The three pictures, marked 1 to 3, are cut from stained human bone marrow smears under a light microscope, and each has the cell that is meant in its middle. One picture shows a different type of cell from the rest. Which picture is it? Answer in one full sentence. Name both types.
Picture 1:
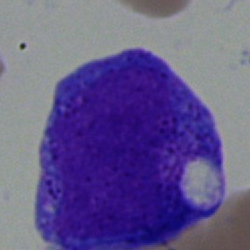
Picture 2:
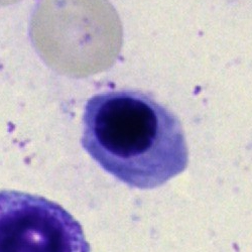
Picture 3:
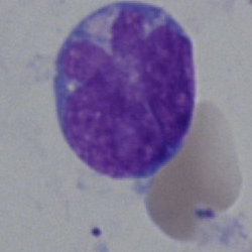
Picture 2 is the odd one out: it shows an erythroblast, while the others show blasts.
